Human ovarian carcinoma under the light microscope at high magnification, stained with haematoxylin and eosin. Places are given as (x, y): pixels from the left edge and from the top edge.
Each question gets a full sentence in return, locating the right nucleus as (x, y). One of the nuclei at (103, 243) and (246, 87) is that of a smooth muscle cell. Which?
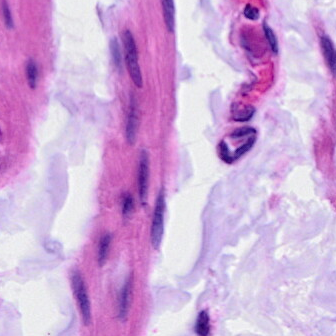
At (103, 243) lies the nucleus that belongs to a smooth muscle cell.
